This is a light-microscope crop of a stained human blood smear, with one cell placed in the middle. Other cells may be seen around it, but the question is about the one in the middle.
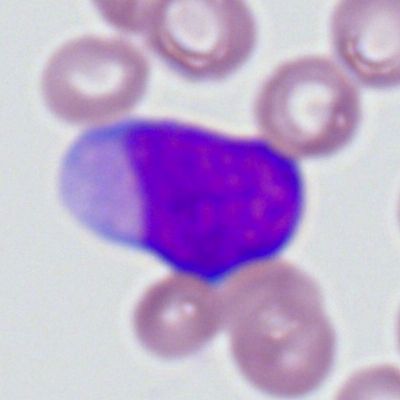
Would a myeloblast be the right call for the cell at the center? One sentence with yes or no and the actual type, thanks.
Yes, the cell at the heart of the crop is a myeloblast.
